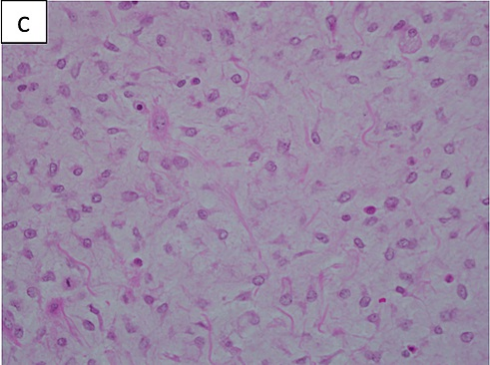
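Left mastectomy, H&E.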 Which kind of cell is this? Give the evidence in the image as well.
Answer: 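Cells with oval to elongated nuclei and thin, wispy pink processes. Nuclei are similar in size and shape. Cells lie apart in a pale, loose background. So: spindle cells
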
